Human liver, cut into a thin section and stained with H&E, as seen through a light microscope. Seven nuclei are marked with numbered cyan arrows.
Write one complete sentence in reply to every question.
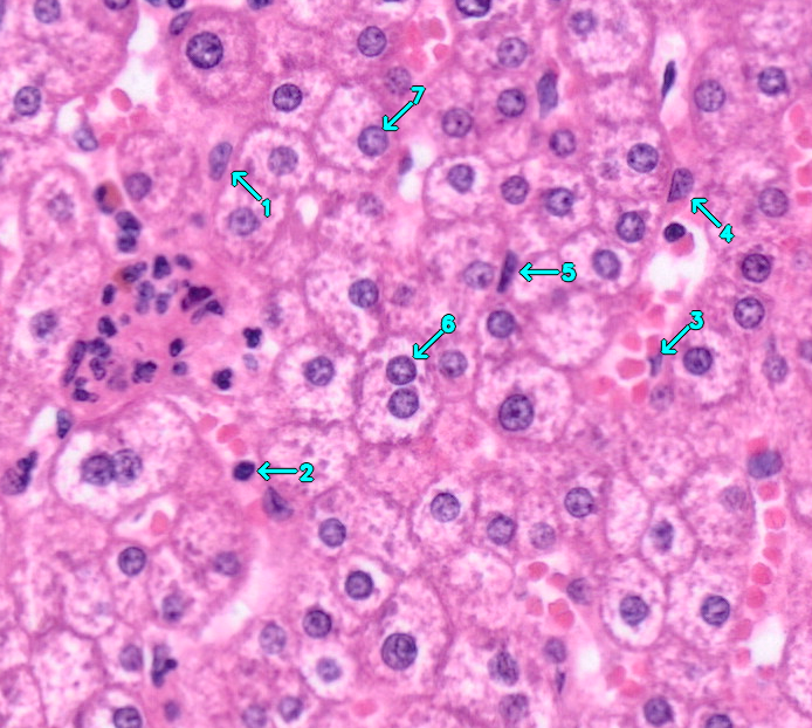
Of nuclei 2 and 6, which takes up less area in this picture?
Nucleus 2 covers less area, with nucleus 6 about 2 times as large.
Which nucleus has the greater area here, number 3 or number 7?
Of the two, number 7 is bigger and takes up about 2.5 times the area of number 3.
